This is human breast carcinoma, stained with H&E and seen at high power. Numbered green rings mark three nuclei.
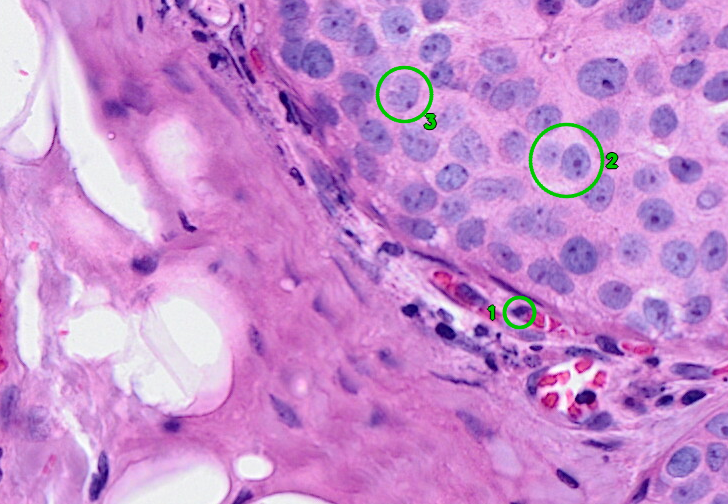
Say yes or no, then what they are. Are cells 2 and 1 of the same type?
No, cell 2 is a carcinoma cell and cell 1 is an endothelial cell.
